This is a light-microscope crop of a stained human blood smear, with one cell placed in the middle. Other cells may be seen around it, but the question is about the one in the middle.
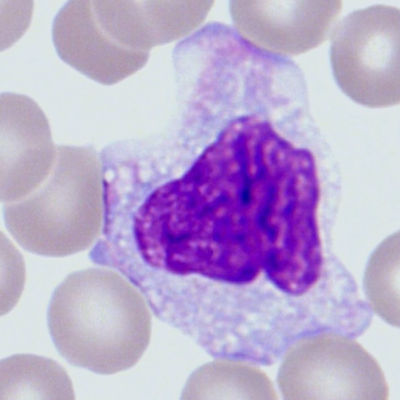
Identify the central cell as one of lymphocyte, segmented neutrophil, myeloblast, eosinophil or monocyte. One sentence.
The identification for the central cell is a monocyte.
